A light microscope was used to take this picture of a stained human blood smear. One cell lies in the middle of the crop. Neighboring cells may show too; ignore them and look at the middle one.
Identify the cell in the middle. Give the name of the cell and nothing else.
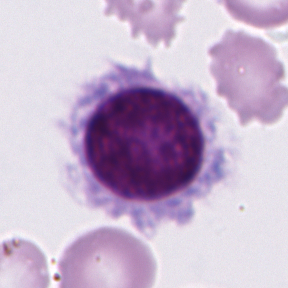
hairy cell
